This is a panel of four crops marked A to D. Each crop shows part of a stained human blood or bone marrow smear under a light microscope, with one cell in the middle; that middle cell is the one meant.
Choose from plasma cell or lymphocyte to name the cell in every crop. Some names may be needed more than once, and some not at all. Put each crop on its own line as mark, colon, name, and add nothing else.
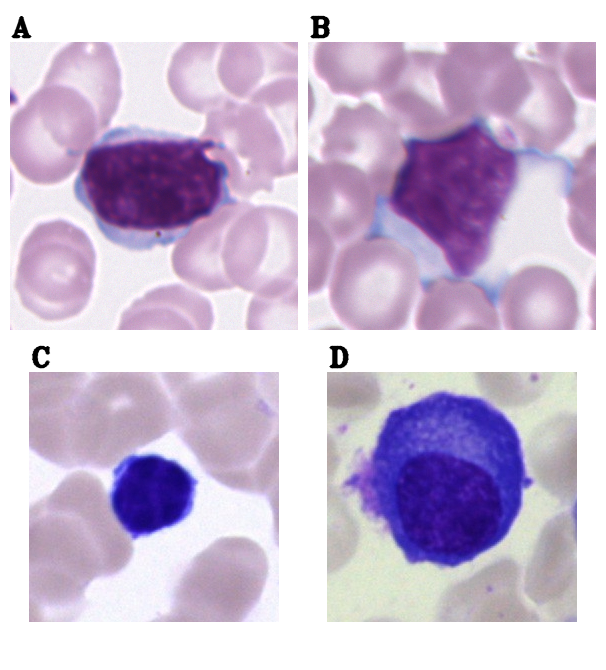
A: lymphocyte
B: lymphocyte
C: lymphocyte
D: plasma cell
